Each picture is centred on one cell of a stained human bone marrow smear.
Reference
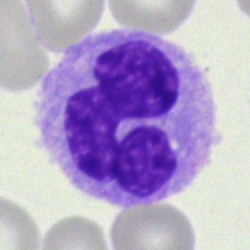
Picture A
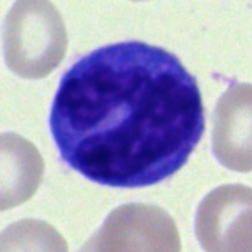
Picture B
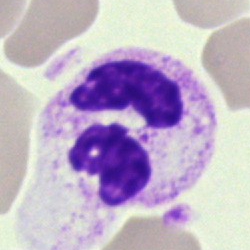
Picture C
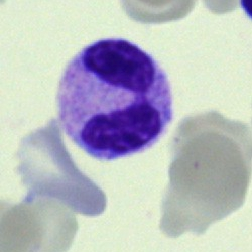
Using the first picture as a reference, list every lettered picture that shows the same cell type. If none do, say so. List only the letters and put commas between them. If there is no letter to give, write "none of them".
A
